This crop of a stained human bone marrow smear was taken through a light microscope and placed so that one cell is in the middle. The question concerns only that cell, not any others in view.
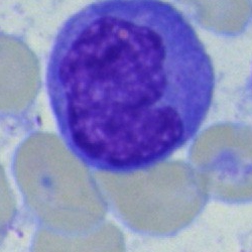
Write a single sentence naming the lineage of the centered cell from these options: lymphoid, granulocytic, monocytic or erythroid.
Lineage classification of the central cell is monocytic.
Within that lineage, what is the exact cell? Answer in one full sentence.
The cell in the middle of the field of view is a monocyte.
